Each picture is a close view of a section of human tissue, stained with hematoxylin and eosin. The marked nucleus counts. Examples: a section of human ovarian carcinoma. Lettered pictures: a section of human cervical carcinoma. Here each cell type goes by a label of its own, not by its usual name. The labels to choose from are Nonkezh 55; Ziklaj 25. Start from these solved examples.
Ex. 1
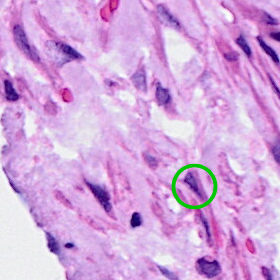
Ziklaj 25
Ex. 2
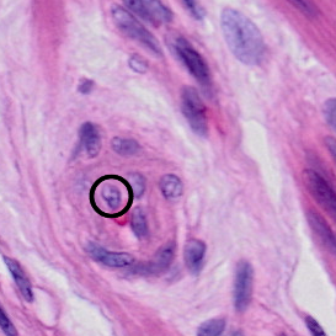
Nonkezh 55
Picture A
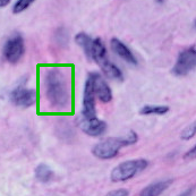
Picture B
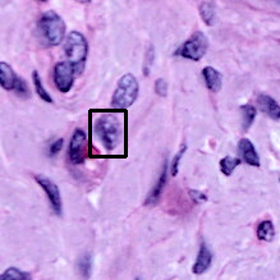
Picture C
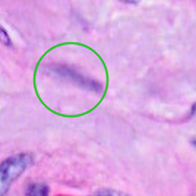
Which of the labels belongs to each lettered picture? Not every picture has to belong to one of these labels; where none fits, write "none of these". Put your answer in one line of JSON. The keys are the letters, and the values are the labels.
{"A": "Nonkezh 55", "B": "Nonkezh 55", "C": "Ziklaj 25"}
